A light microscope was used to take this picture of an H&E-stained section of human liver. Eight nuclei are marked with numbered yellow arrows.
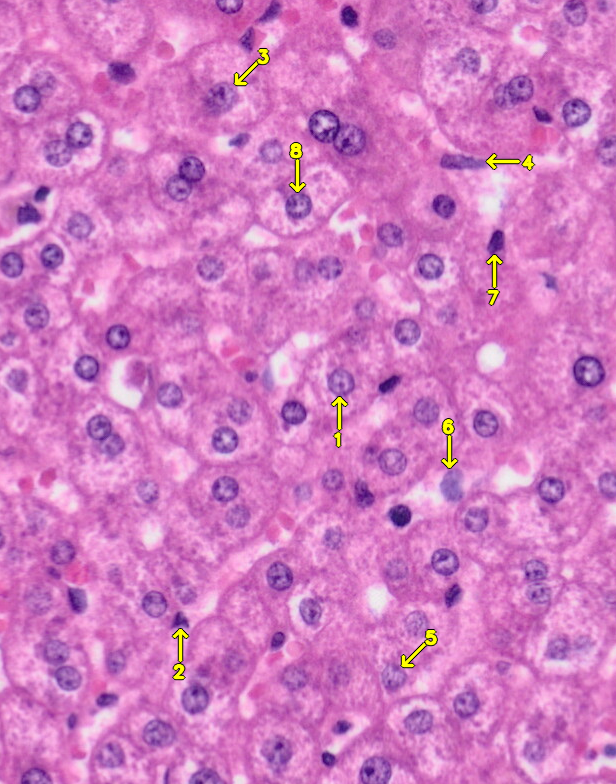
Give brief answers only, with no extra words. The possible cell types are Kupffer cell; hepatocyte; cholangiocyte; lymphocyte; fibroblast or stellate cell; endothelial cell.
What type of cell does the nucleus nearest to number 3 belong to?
endothelial cell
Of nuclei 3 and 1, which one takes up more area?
3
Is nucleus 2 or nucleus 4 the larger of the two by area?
4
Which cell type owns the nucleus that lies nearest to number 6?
hepatocyte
